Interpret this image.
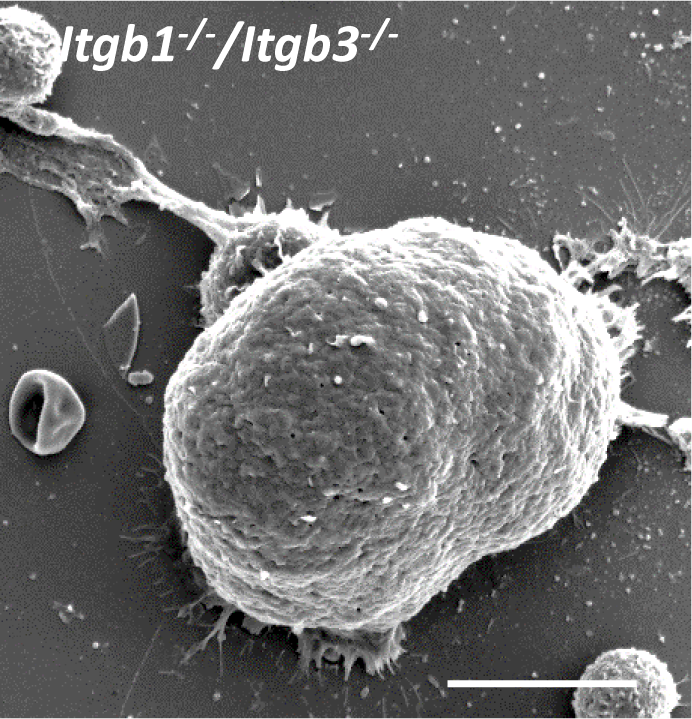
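The cell is a bulky, dome-shaped mass with a rough, granular surface covered in small bumps; only short spiky projections and a few thin strands extend from its base onto the substrate. A long flattened process reaches off toward the upper left.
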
